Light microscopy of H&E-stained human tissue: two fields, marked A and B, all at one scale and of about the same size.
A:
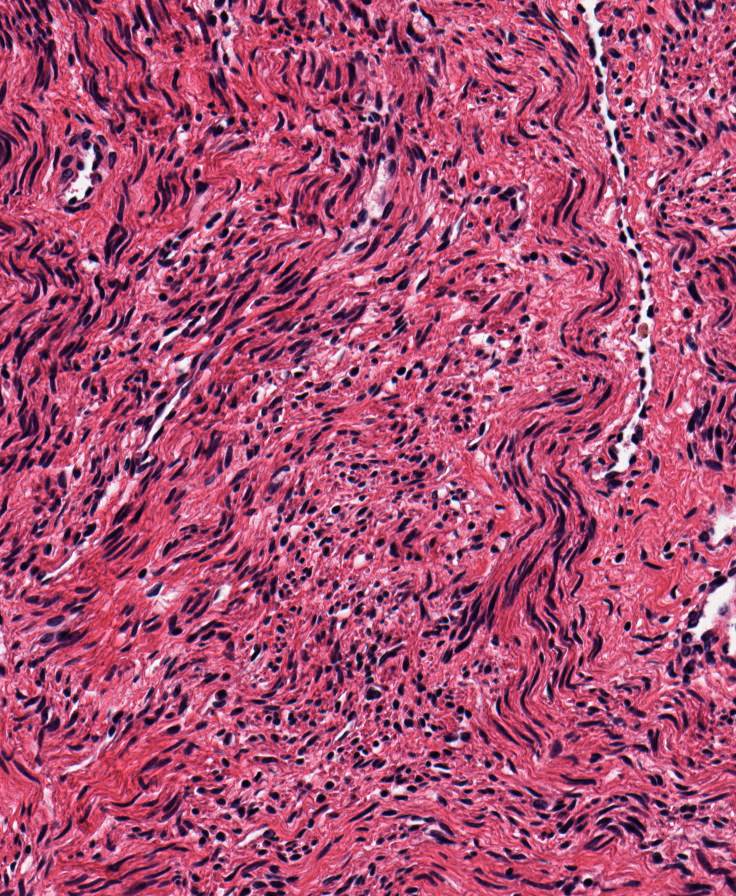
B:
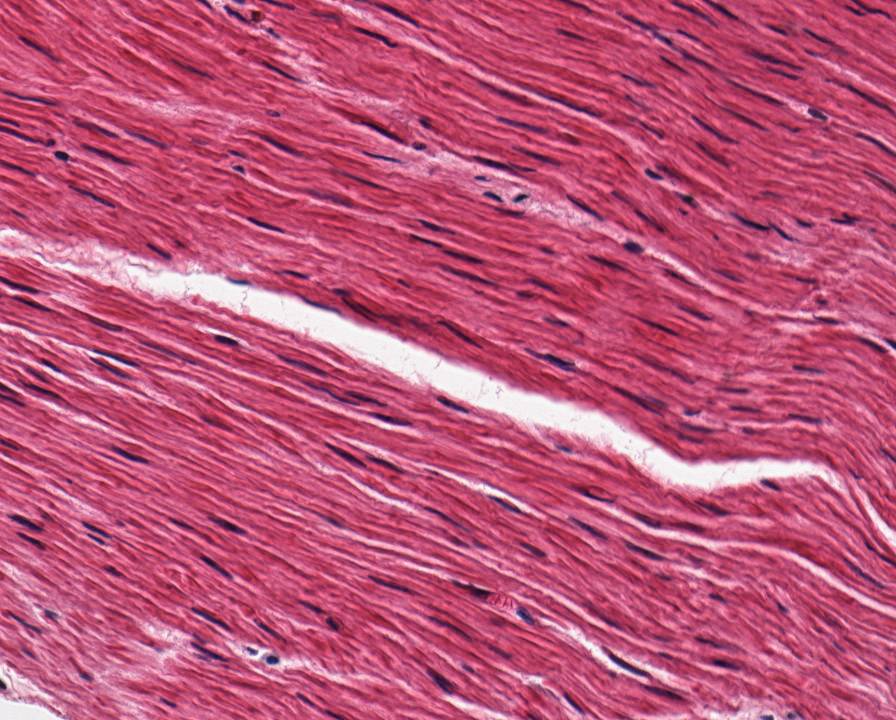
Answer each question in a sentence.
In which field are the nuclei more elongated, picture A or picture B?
Longer, more slender nuclei lie in picture B.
